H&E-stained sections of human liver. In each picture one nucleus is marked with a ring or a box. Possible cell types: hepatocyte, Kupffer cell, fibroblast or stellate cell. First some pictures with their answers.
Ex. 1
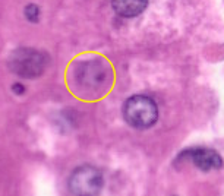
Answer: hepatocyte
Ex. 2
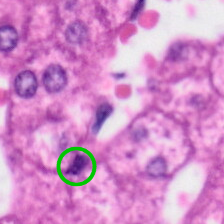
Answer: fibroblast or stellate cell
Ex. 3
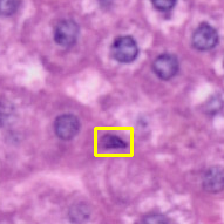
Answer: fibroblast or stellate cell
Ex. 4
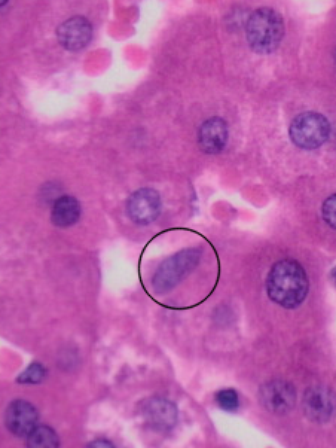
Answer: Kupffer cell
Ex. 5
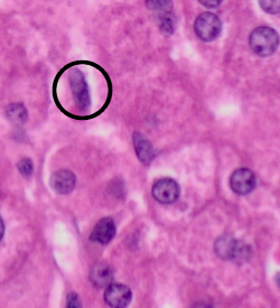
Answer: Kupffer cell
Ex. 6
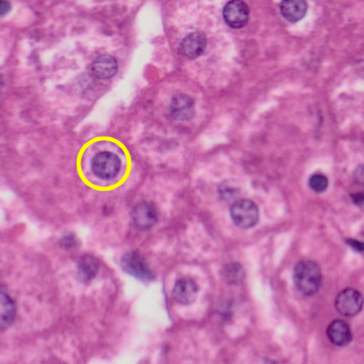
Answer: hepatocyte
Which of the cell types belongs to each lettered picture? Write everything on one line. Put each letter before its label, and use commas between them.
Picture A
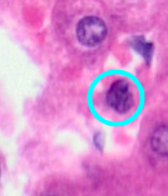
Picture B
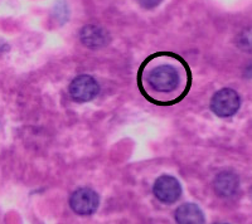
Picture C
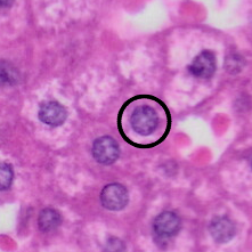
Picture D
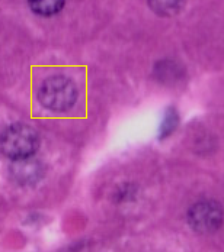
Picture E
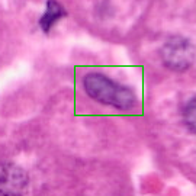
A Kupffer cell, B hepatocyte, C hepatocyte, D hepatocyte, E Kupffer cell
